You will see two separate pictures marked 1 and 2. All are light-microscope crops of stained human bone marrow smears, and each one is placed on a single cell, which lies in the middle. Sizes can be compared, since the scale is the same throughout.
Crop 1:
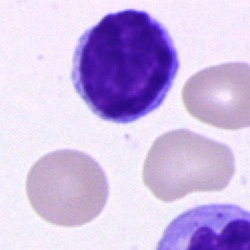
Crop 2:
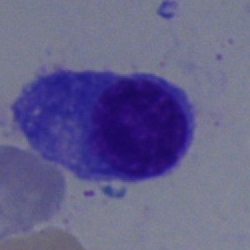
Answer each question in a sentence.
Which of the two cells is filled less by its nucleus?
The nucleus fills less of the cell in crop 2 than in crop 1.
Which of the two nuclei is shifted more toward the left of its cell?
It is the nucleus in crop 1 that lies further toward the left of its cell.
